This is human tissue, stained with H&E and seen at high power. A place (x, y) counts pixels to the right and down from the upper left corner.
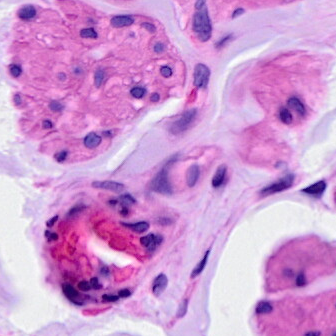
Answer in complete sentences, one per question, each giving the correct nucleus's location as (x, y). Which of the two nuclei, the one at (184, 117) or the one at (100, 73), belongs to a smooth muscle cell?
Rather than the other nucleus, the one at (100, 73) belongs to a smooth muscle cell.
